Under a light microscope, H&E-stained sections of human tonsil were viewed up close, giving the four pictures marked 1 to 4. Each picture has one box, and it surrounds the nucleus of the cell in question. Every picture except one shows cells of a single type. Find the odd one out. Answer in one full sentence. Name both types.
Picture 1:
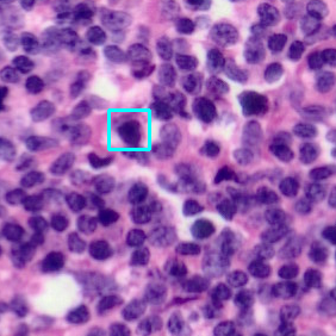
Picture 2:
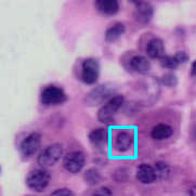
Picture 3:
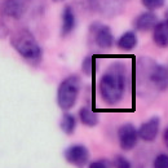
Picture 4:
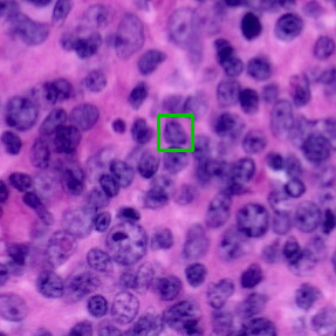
All pictures except 2 show proliferating B cells; picture 2 shows a plasma cell.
